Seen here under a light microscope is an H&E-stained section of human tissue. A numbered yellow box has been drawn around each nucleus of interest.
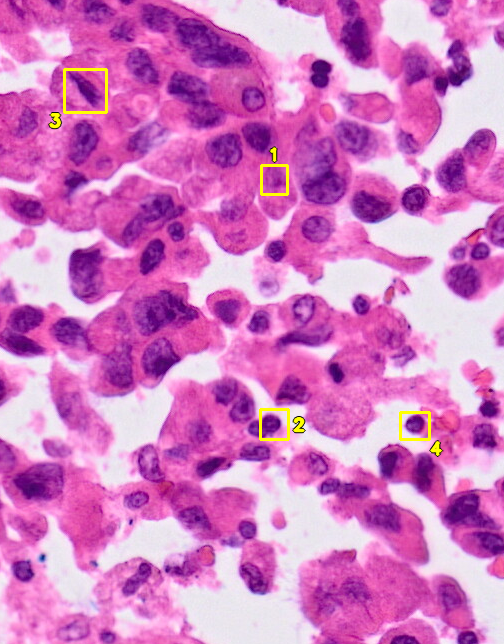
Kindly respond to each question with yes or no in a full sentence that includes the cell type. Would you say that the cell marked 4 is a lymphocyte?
Yes, the one numbered 4 is a lymphocyte.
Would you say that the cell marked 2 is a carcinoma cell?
No, a lymphocyte is what cell 2 is, not a carcinoma cell.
